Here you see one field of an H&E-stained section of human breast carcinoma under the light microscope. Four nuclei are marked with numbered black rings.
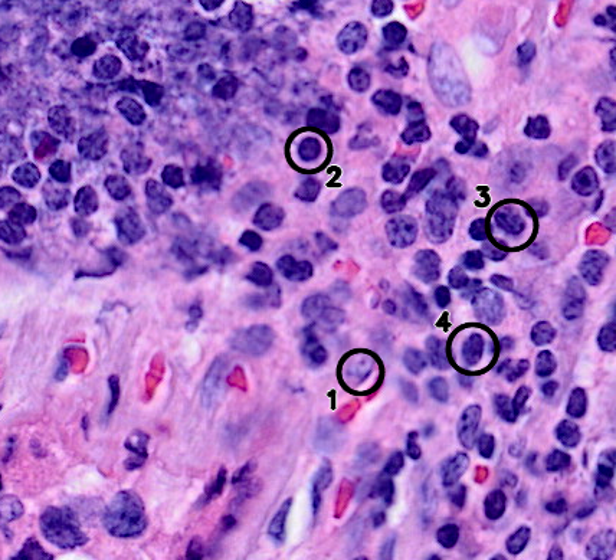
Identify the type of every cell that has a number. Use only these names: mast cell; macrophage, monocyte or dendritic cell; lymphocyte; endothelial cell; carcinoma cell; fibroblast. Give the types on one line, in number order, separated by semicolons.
endothelial cell; lymphocyte; lymphocyte; lymphocyte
